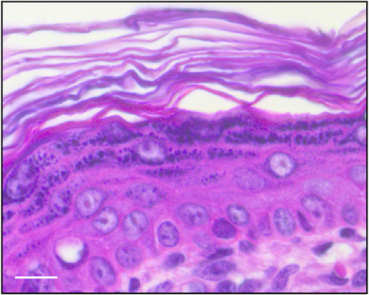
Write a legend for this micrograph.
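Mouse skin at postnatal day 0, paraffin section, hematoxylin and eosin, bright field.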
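Basal cells have round purple nuclei, and the cells above them become progressively flatter. A dark purple granular layer lies under a thick pile of loose, wavy pink cornified lamellae.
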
